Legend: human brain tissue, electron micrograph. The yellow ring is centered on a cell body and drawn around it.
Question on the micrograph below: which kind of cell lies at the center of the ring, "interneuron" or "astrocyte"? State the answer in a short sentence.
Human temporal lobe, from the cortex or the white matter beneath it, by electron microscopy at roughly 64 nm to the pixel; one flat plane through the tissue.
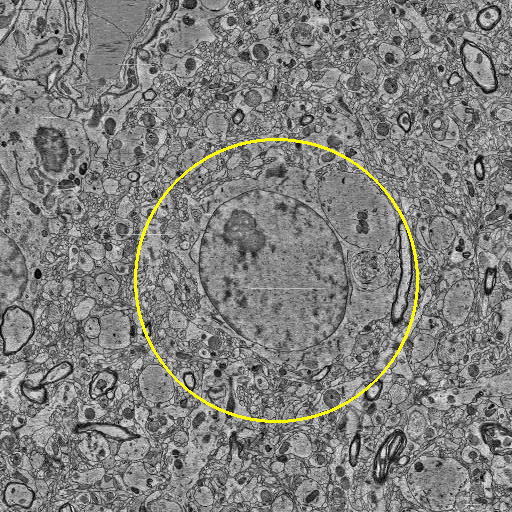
At the center of the ring lies an astrocyte.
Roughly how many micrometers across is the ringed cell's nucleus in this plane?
About 11 by 9 micrometers for the nucleus, in this plane.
